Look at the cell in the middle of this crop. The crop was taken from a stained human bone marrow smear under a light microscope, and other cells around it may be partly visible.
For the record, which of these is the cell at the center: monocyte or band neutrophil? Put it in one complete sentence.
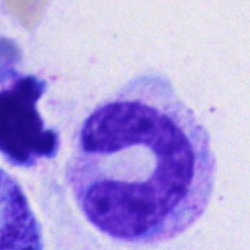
The central cell shown in this smear crop is a band neutrophil.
